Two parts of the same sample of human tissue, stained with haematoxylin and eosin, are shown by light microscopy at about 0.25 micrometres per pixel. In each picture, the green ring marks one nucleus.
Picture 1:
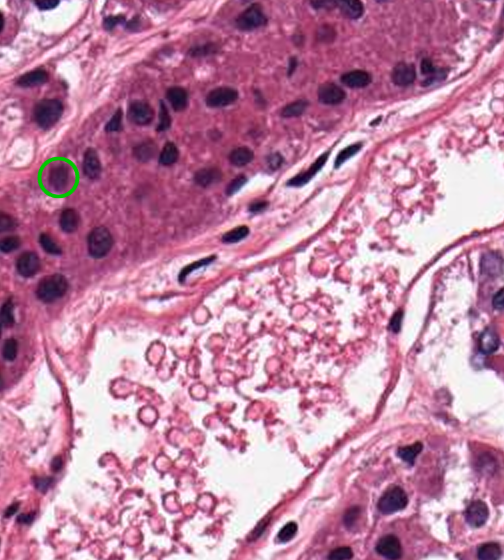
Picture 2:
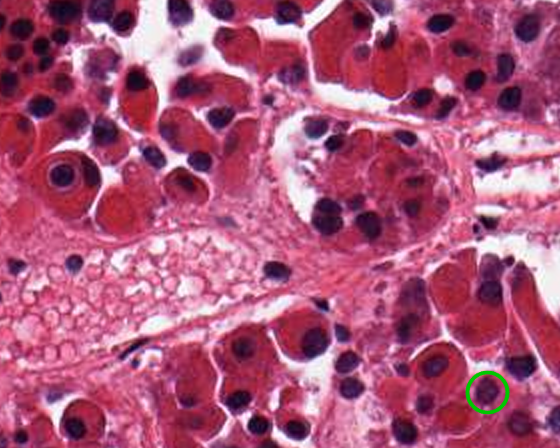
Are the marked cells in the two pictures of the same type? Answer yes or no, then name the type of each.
Yes, both are anterior pituitary cells.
